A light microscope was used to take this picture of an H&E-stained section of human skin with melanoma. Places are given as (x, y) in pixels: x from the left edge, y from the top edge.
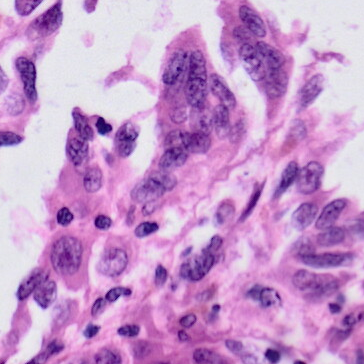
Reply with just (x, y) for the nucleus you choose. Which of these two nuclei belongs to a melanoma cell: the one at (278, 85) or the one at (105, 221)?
(278, 85)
